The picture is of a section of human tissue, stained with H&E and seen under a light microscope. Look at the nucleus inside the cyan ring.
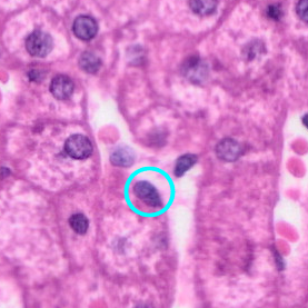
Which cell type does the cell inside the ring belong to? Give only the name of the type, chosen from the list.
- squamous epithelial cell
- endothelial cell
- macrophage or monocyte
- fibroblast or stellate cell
fibroblast or stellate cell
